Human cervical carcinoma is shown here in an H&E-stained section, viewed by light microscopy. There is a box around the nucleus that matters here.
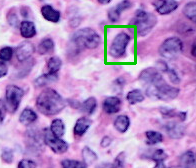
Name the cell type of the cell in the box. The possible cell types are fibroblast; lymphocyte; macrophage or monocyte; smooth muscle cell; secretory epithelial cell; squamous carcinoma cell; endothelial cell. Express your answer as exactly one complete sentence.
Speaking plainly, the cell in the box is nothing other than a lymphocyte.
